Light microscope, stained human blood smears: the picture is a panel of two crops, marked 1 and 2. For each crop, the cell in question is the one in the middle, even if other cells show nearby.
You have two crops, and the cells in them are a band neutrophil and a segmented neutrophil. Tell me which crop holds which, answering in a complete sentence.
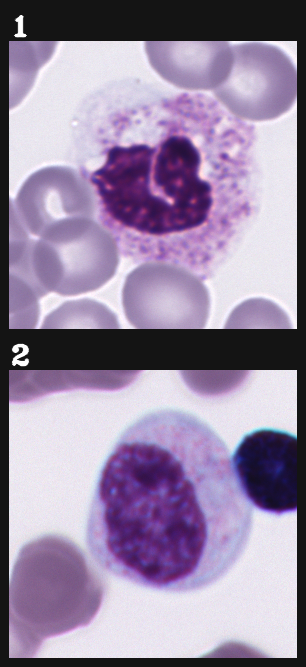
Crop 1 is a segmented neutrophil, whereas a band neutrophil is found in crop 2.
